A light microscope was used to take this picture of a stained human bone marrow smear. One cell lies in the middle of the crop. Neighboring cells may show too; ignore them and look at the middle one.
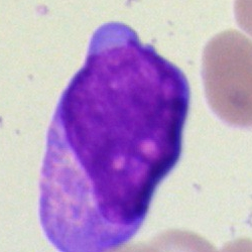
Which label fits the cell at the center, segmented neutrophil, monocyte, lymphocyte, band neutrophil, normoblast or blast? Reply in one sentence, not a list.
The cell of interest, in the center, is a blast.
